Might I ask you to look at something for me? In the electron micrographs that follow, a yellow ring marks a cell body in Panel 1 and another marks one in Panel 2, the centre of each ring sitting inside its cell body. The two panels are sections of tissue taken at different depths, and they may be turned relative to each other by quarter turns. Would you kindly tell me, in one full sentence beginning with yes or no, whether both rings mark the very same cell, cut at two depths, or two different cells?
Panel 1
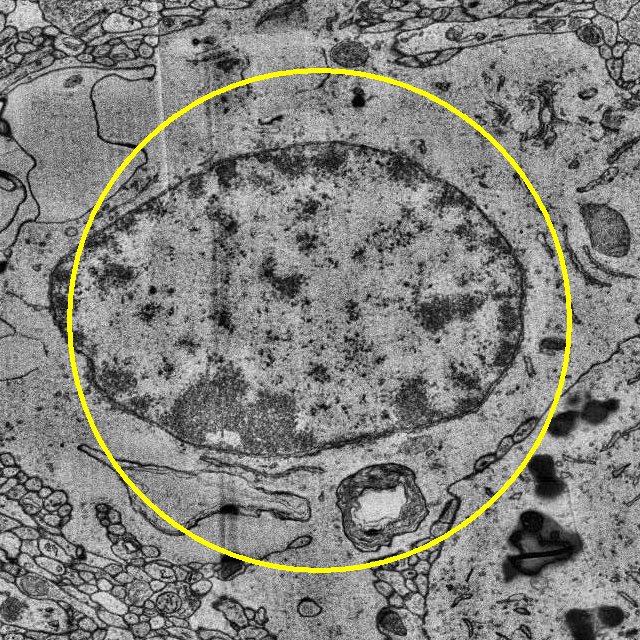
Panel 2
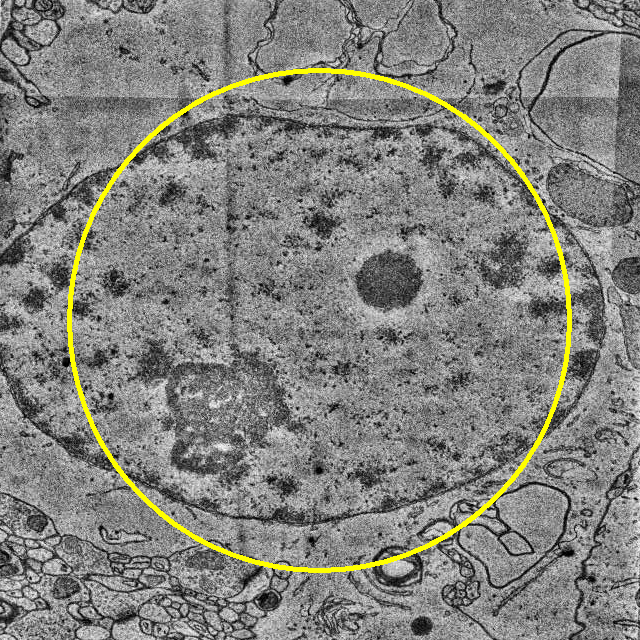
Yes, a single cell lies behind both yellow marks.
